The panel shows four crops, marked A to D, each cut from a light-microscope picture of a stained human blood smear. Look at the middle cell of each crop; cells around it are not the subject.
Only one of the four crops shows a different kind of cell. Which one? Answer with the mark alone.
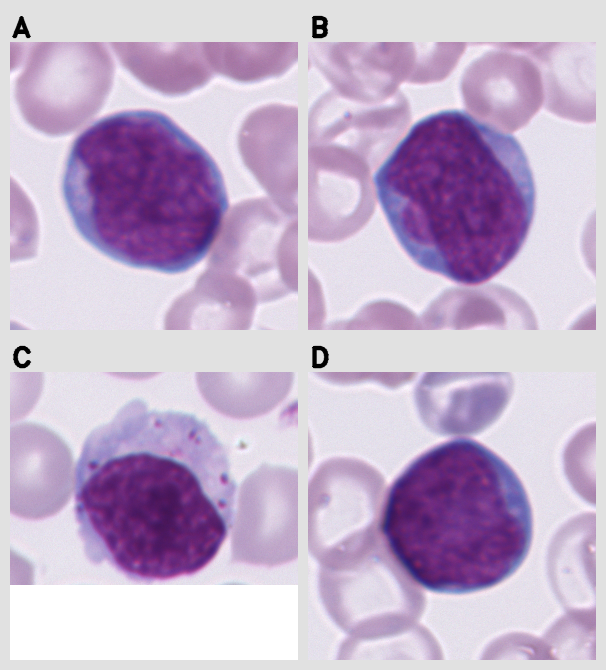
C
